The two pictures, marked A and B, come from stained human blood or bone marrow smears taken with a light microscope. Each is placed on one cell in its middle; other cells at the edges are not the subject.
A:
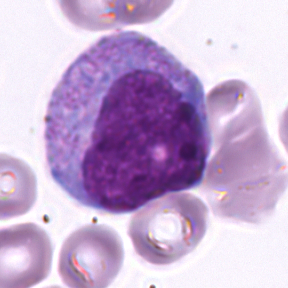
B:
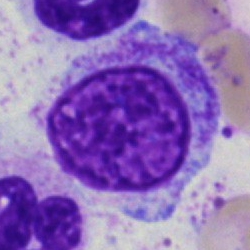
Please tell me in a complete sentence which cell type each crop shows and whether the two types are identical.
No, the cell at the middle of crop A is a promyelocyte, while crop B centres on a myelocyte.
